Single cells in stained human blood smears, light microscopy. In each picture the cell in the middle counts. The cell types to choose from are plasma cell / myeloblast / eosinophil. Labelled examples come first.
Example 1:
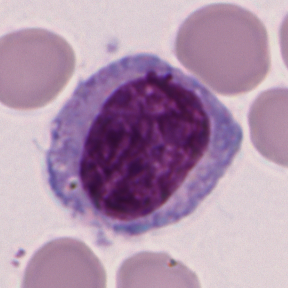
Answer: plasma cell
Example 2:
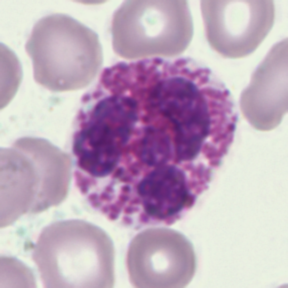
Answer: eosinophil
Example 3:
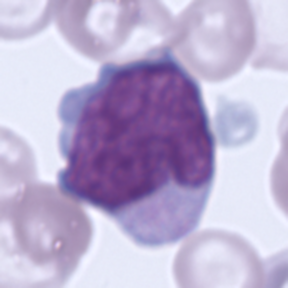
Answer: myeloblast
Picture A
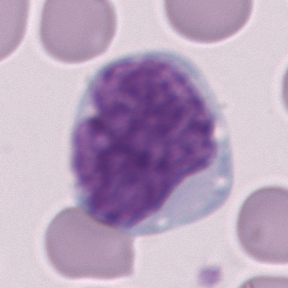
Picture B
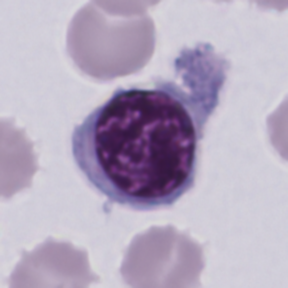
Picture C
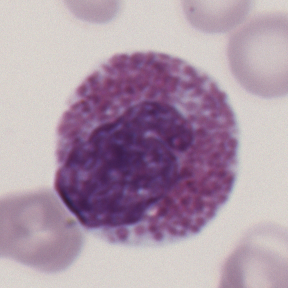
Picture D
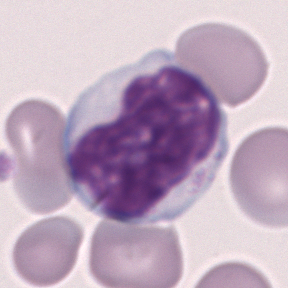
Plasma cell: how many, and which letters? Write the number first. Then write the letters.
Count: 1 (B)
